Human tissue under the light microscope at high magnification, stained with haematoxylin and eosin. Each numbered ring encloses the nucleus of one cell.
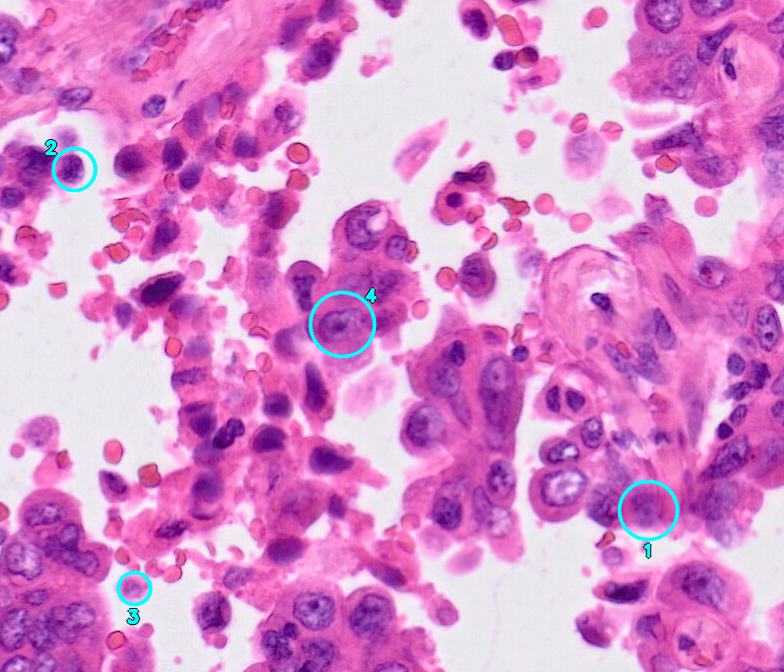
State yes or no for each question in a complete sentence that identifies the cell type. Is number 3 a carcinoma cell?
No, the cell given number 3 is a macrophage or monocyte, not a carcinoma cell.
